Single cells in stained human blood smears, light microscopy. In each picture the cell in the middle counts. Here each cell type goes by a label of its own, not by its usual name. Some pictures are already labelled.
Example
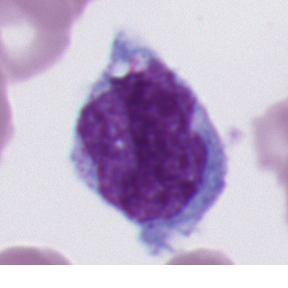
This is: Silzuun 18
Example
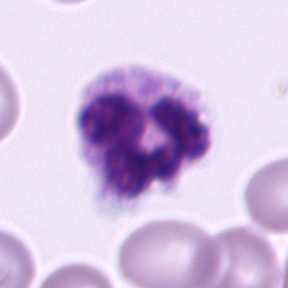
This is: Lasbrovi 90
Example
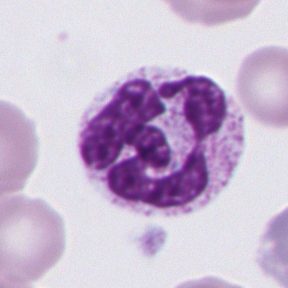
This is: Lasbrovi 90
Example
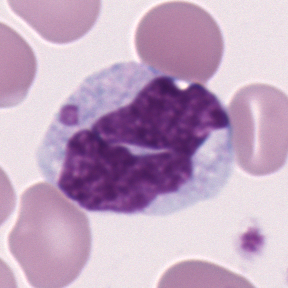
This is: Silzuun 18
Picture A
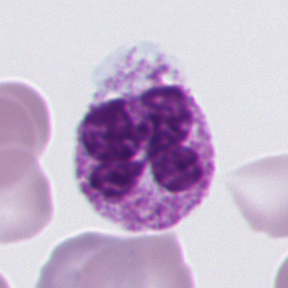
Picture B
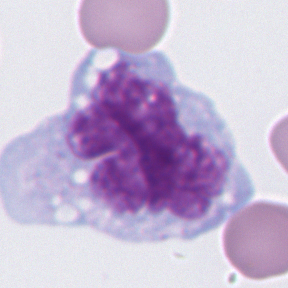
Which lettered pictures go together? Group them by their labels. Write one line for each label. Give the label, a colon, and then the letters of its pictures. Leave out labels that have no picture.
Silzuun 18: B
Lasbrovi 90: A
